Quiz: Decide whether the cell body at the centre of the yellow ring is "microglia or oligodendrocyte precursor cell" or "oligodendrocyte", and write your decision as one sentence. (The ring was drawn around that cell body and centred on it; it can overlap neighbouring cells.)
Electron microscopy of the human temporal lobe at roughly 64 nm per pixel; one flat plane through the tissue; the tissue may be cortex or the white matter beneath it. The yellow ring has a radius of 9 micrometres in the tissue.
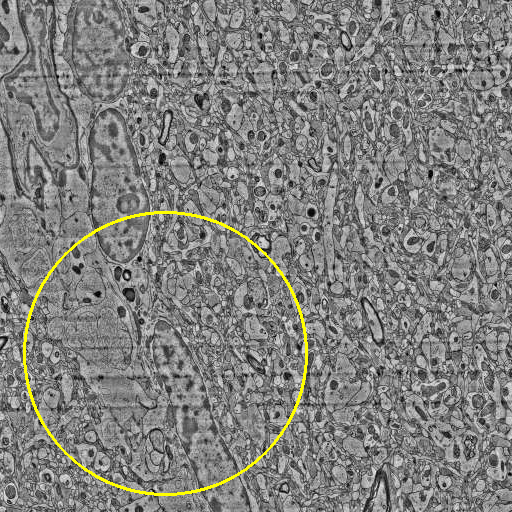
The cell the ring is centred on is a microglial cell or oligodendrocyte precursor cell.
